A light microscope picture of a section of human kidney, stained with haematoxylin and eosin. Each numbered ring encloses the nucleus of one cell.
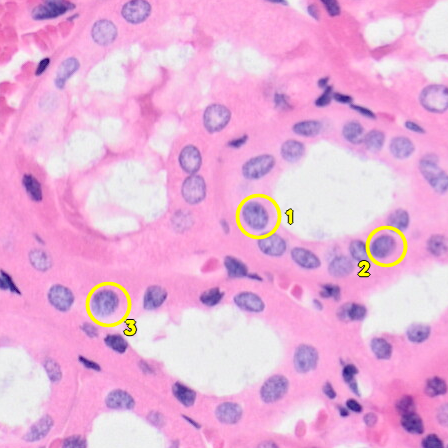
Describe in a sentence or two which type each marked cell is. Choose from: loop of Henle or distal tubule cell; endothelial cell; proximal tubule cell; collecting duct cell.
Cell 1 is a collecting duct cell, cell 2 is a collecting duct cell and cell 3 is a loop of Henle or distal tubule cell.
